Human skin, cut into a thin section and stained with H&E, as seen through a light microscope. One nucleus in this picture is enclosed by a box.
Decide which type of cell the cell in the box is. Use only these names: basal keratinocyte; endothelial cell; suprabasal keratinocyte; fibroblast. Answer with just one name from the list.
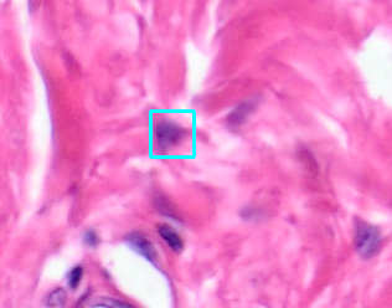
fibroblast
